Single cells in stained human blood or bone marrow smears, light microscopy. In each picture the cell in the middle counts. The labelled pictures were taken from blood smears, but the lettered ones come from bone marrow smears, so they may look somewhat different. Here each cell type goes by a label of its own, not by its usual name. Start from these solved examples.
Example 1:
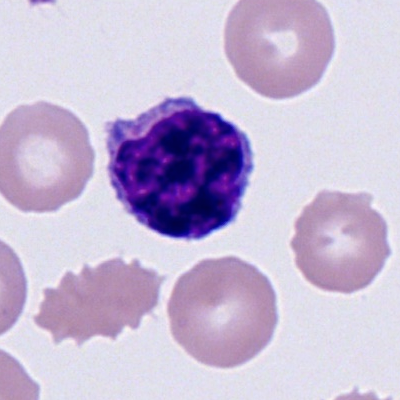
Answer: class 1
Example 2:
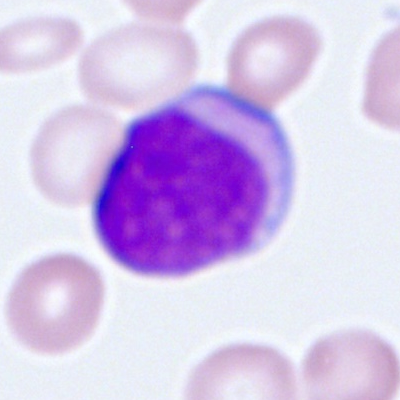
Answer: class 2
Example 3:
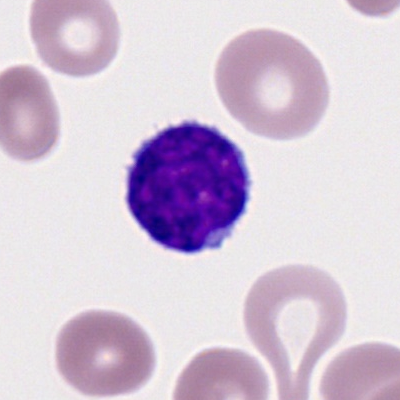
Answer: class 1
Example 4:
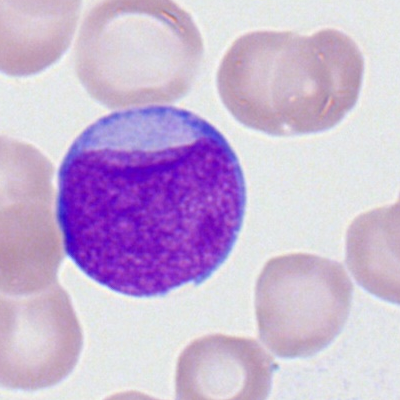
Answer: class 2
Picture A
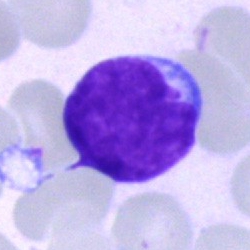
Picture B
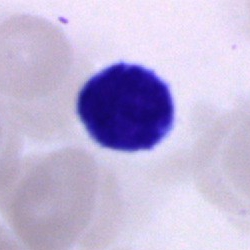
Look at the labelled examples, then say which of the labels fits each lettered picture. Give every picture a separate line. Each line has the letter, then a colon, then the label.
A: class 2
B: class 1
